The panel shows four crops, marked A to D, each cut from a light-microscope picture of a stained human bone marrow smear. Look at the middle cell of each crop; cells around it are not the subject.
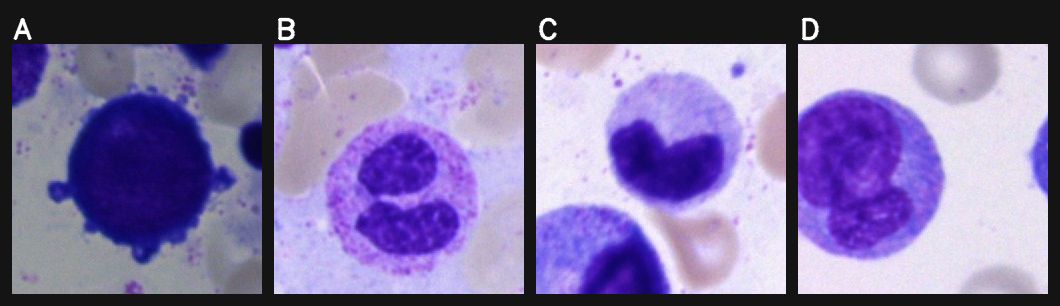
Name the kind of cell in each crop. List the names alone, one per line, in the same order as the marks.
proerythroblast
segmented neutrophil
metamyelocyte
monocyte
